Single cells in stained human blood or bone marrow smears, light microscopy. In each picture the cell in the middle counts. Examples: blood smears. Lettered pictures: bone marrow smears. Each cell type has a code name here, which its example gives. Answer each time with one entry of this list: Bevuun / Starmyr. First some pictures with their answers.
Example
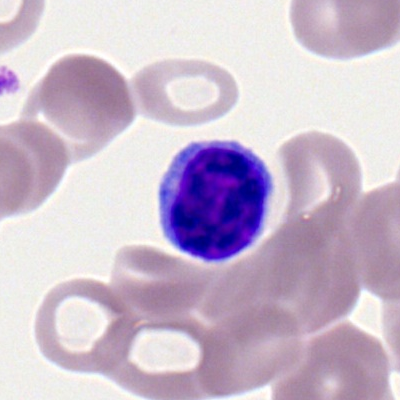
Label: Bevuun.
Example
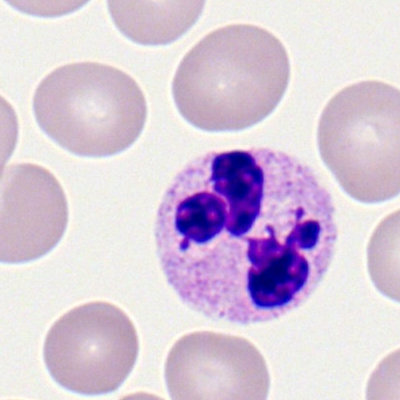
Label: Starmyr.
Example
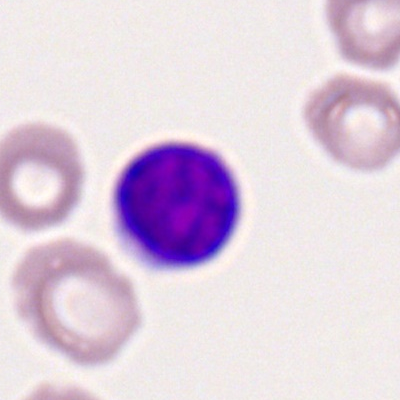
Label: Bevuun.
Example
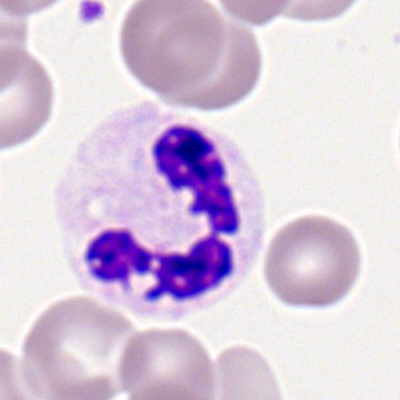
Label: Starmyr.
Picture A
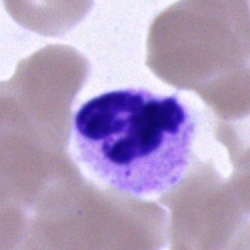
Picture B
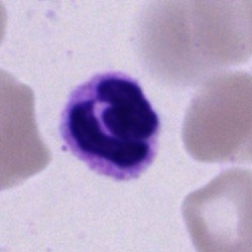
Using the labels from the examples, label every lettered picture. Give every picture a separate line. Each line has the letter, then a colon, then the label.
A: Starmyr.
B: Starmyr.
